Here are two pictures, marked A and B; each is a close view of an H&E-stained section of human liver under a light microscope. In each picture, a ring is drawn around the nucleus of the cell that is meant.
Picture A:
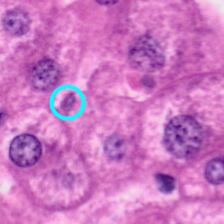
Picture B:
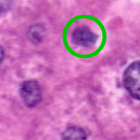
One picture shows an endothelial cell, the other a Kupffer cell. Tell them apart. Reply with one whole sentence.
Picture A shows a Kupffer cell and picture B shows an endothelial cell.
